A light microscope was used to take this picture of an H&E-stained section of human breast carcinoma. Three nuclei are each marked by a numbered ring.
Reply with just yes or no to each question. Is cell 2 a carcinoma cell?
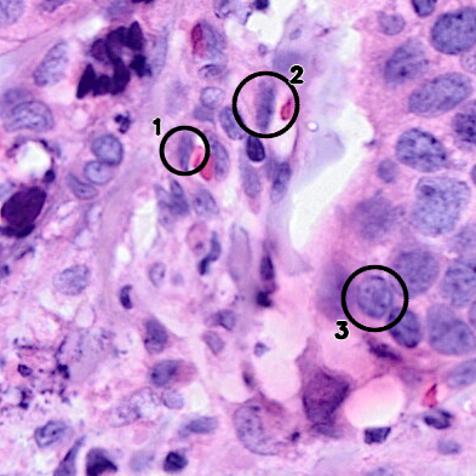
no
